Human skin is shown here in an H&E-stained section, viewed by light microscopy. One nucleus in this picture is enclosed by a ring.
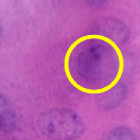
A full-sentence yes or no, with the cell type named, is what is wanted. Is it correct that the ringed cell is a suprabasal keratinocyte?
Yes, the ringed cell is properly regarded as a suprabasal keratinocyte.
